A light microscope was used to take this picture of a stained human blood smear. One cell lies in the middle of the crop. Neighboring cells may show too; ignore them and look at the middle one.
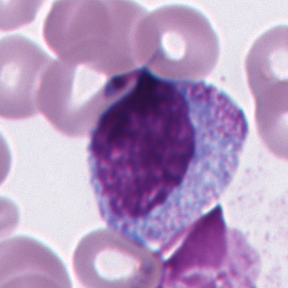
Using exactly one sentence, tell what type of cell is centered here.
The single cell at the center of the crop is a promyelocyte.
